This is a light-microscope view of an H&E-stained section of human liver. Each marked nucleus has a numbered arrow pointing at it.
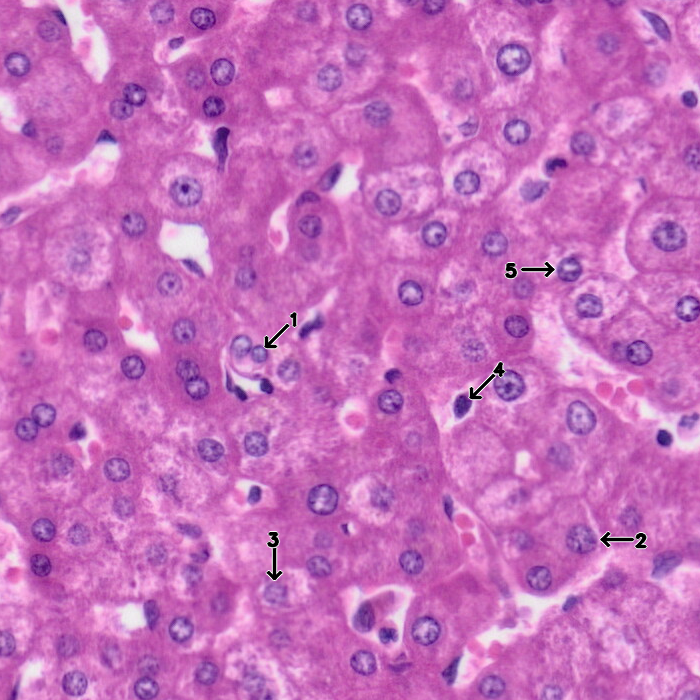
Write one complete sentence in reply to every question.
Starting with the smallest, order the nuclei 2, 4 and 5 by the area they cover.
By area, going up from the smallest, they rank 4, 5, 2.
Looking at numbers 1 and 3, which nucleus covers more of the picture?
The larger nucleus is 3, at roughly 2 times the area of 1.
